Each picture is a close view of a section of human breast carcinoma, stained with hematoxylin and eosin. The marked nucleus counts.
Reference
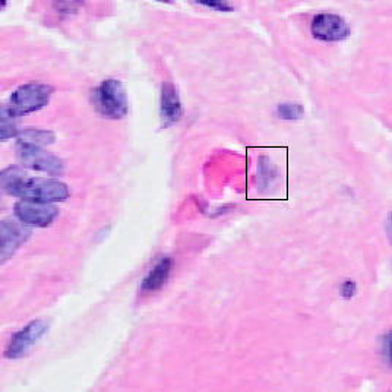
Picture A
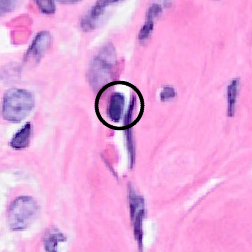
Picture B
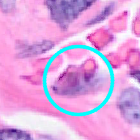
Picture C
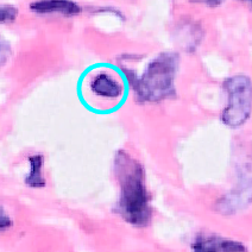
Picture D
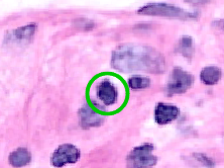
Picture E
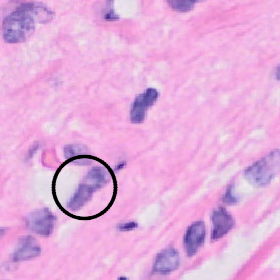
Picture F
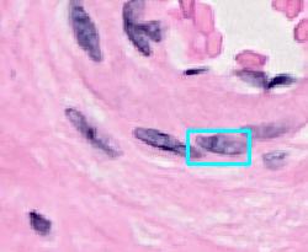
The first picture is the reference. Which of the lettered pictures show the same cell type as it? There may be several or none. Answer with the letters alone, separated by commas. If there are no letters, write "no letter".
A, B, E, F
